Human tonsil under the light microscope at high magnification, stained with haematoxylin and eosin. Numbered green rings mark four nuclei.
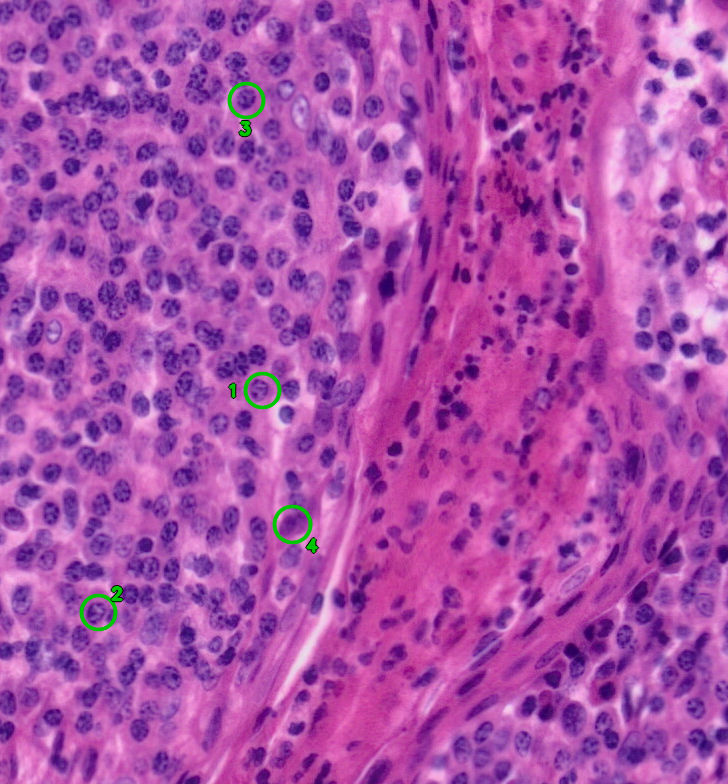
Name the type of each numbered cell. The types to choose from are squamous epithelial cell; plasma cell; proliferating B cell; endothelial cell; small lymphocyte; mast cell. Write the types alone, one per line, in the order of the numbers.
plasma cell
plasma cell
plasma cell
squamous epithelial cell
